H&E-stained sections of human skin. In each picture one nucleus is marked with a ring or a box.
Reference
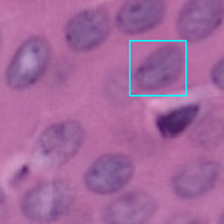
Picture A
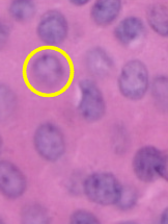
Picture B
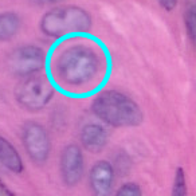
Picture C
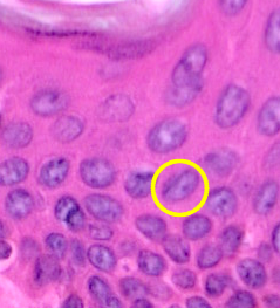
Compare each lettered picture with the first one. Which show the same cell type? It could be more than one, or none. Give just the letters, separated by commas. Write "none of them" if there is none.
A, C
